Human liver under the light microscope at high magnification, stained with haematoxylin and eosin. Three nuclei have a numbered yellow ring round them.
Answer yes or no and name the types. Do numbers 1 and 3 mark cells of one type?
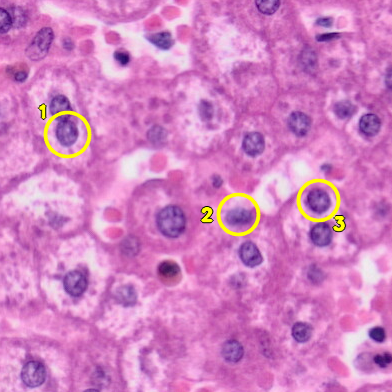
Yes, the cells marked 1 and 3 are both hepatocytes.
